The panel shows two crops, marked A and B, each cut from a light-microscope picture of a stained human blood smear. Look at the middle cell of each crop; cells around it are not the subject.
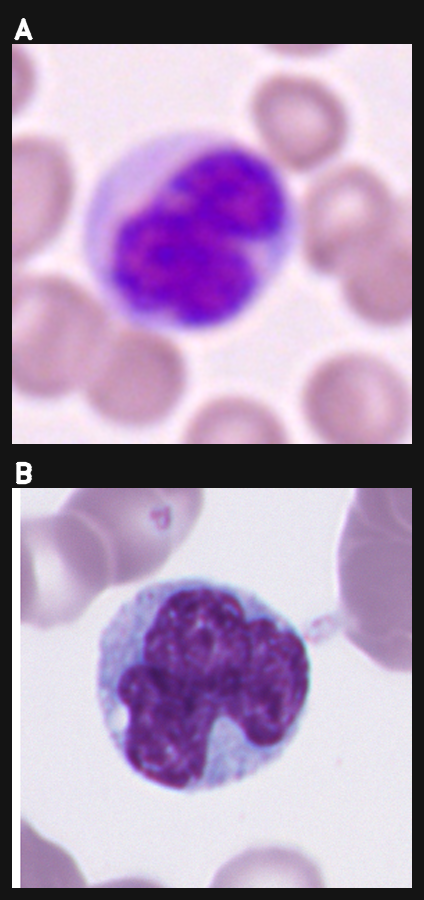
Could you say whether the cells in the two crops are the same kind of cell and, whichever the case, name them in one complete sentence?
Yes, the central cells in both of the crops are monocytes.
